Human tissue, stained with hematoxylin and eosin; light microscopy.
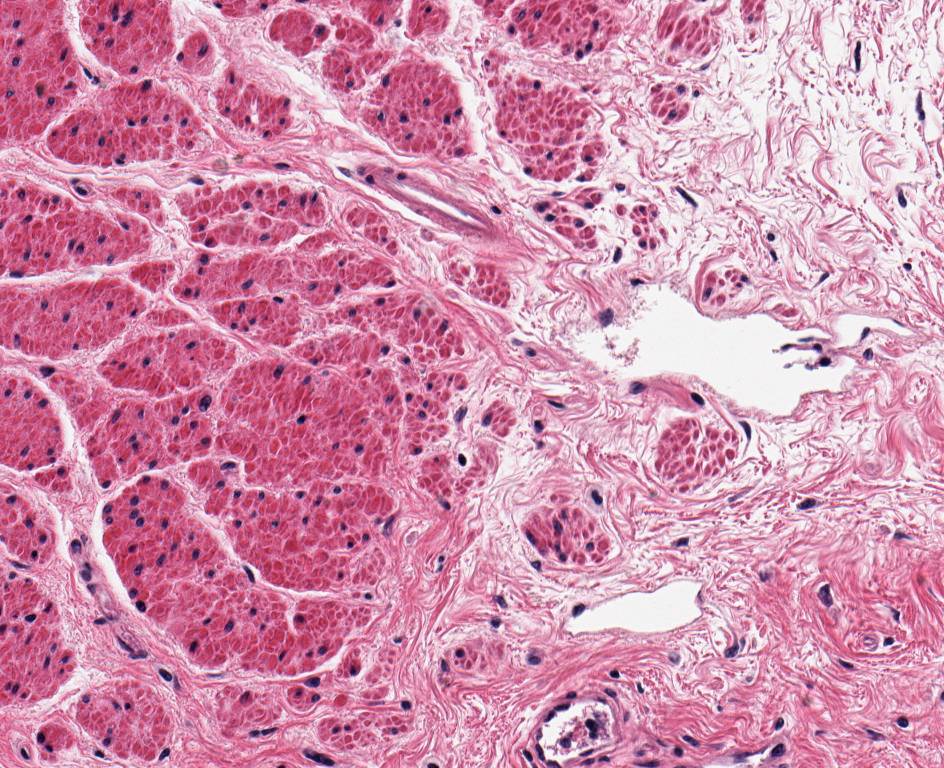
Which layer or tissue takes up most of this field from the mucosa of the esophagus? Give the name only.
smooth muscle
